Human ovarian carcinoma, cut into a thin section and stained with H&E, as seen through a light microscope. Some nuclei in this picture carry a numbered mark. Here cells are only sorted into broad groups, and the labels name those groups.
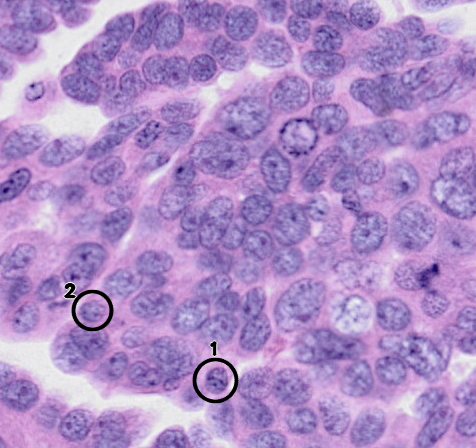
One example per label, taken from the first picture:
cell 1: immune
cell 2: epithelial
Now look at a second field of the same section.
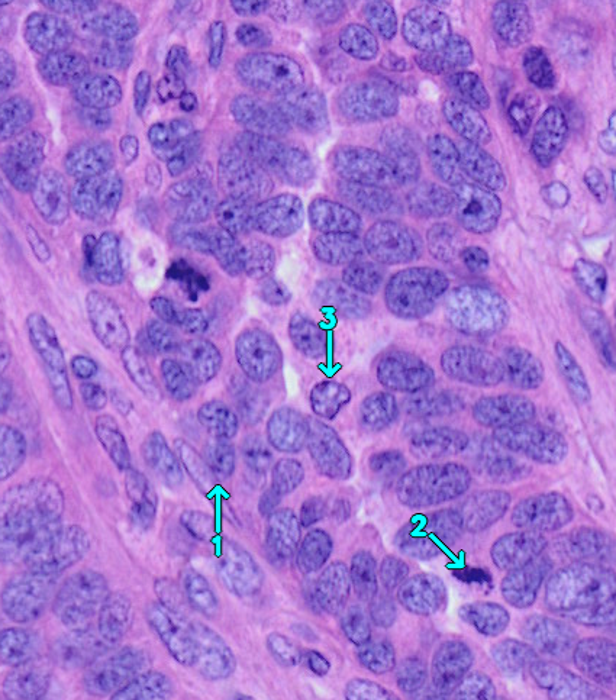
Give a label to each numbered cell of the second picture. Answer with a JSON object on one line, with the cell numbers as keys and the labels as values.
{"1": "epithelial", "2": "epithelial", "3": "immune"}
